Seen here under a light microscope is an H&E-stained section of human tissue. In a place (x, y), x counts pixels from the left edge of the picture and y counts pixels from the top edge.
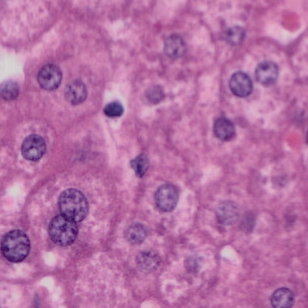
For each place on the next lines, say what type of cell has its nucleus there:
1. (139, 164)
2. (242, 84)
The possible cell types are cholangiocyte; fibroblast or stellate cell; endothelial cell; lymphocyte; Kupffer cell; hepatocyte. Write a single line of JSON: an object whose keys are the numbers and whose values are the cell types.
{"1": "endothelial cell", "2": "hepatocyte"}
